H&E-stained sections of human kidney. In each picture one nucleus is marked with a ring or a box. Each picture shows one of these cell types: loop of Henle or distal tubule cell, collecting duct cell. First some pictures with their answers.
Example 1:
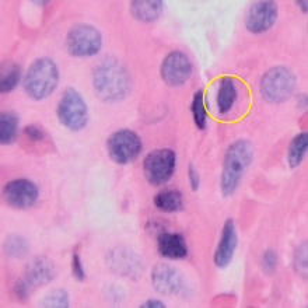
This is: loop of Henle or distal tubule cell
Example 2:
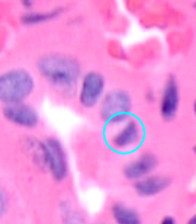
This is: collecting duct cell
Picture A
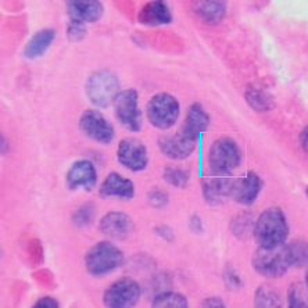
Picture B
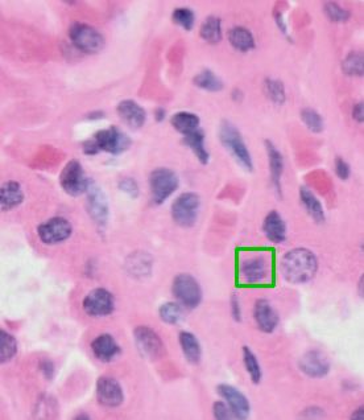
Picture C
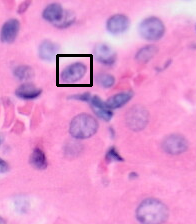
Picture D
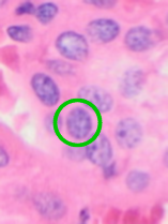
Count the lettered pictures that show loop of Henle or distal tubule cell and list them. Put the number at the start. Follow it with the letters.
2, namely B, C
